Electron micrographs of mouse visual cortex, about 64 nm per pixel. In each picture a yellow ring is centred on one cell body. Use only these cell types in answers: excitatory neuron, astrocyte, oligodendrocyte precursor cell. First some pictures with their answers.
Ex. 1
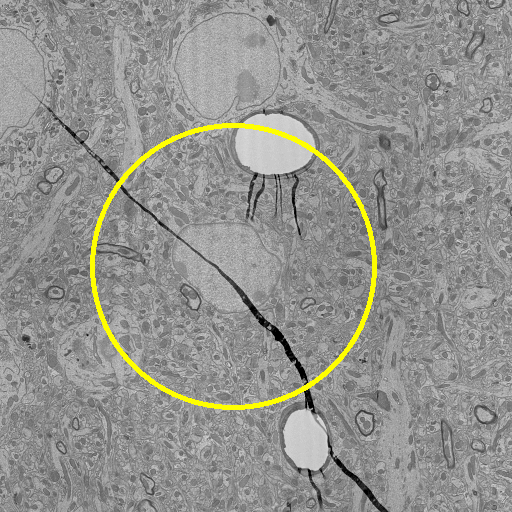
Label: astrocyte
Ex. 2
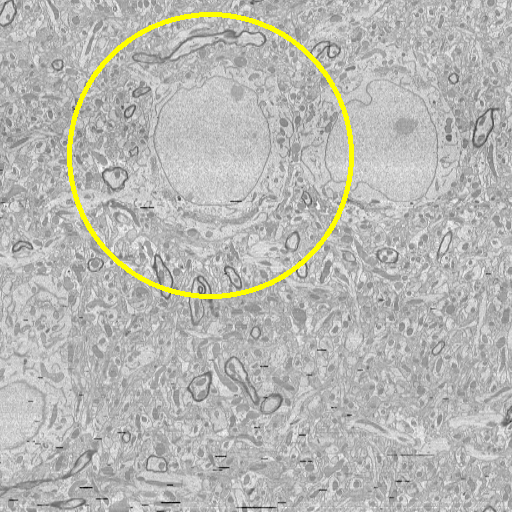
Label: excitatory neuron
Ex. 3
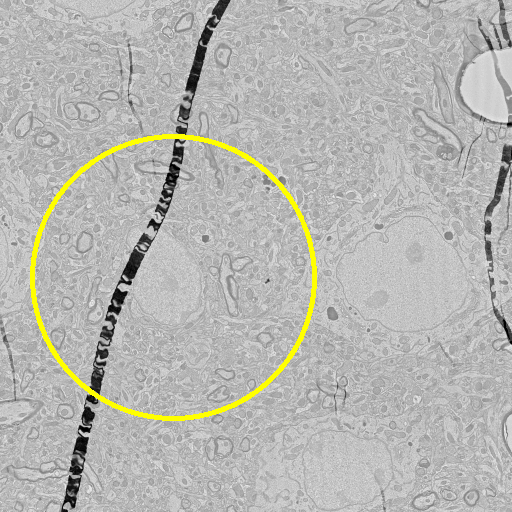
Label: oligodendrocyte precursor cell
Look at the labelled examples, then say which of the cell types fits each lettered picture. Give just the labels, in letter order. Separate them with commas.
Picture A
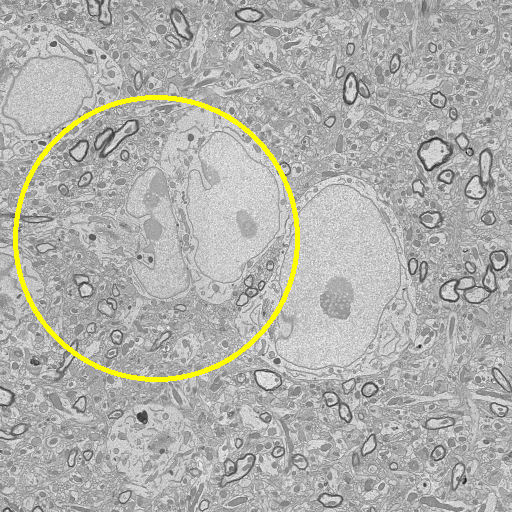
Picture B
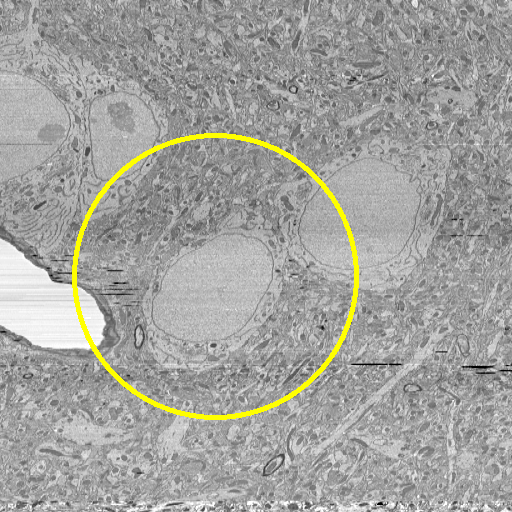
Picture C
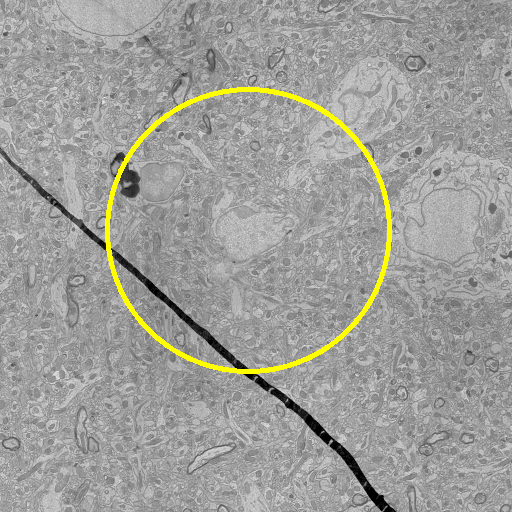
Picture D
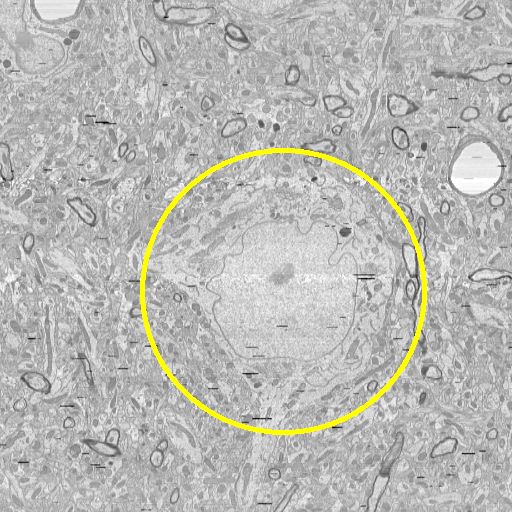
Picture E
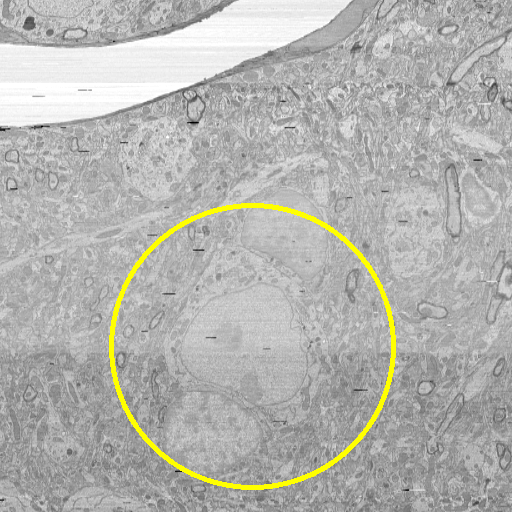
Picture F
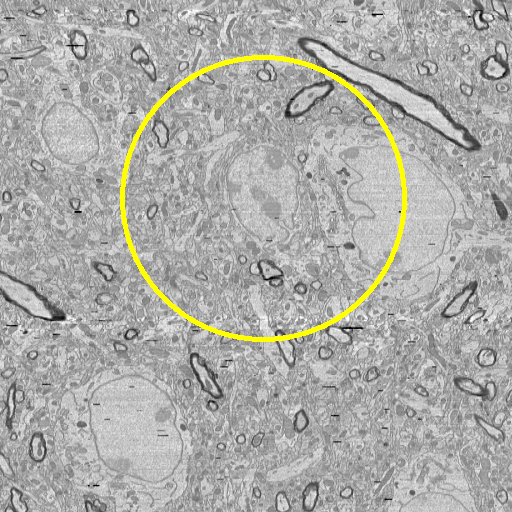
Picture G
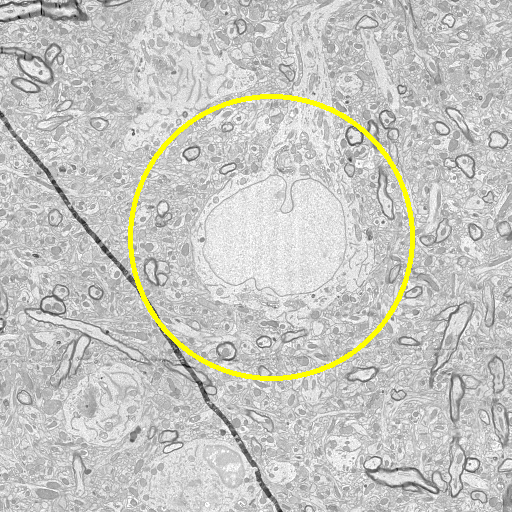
oligodendrocyte precursor cell, excitatory neuron, oligodendrocyte precursor cell, excitatory neuron, excitatory neuron, oligodendrocyte precursor cell, excitatory neuron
